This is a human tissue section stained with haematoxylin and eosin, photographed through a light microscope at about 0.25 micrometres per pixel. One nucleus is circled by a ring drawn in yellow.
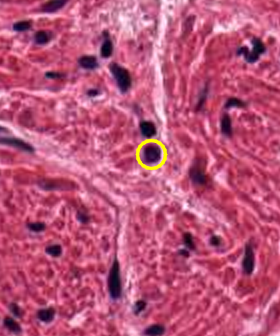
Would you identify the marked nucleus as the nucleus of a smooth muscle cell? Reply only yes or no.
no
